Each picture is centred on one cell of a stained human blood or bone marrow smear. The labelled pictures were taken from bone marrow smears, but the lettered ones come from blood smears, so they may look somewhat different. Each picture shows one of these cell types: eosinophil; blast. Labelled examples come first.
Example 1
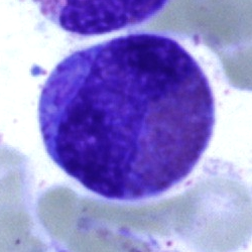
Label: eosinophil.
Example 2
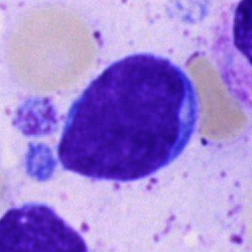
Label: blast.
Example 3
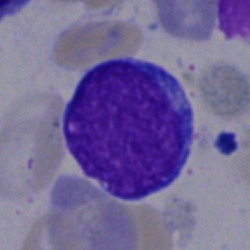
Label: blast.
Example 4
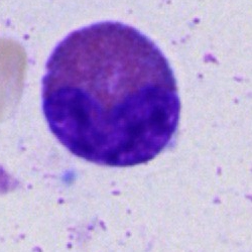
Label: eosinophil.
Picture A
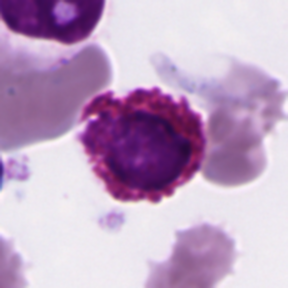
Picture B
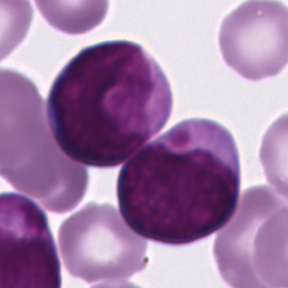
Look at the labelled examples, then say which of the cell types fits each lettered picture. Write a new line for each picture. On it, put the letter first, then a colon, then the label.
A: eosinophil.
B: blast.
